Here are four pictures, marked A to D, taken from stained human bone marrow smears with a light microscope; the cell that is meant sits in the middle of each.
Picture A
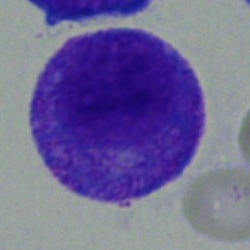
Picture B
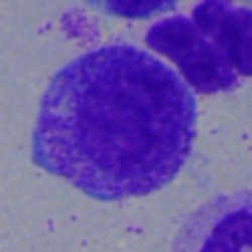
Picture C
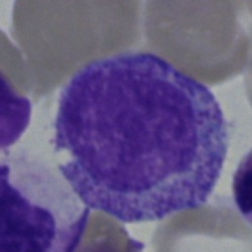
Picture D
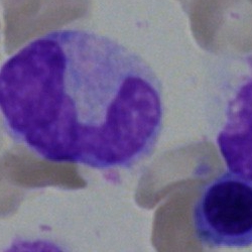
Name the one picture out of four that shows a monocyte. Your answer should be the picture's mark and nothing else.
D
